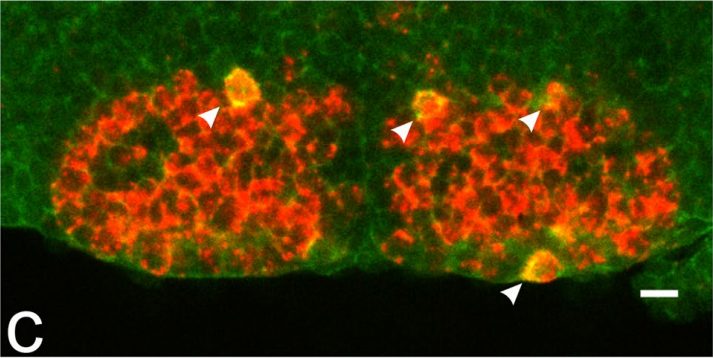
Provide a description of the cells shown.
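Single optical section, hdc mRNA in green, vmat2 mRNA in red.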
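This section of brain tissue shows two oval clusters of densely packed cell bodies filled with red granular signal, lying side by side and separated by a narrow dark gap. Around and between the clusters, small rounded cells are faintly outlined in green, giving the tissue a fine honeycomb pattern. A few individual round cells stand out with brighter green that overlaps the red, appearing yellow, and these are marked by white arrowheads. One of these marked cells lies at the lower edge of the tissue, where it borders a dark region without tissue. Within the red clusters, the signal is dotted and uneven, with small dark gaps corresponding to spaces between or within cell bodies.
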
